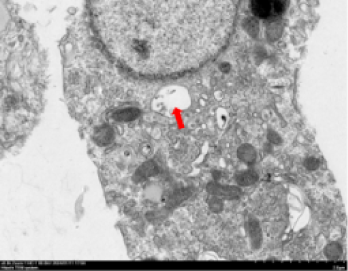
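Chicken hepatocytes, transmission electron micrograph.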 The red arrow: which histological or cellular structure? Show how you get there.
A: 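Auto-phagolysosomes. The arrow points to a small rounded vacuole in the cytoplasm near the nucleus.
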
